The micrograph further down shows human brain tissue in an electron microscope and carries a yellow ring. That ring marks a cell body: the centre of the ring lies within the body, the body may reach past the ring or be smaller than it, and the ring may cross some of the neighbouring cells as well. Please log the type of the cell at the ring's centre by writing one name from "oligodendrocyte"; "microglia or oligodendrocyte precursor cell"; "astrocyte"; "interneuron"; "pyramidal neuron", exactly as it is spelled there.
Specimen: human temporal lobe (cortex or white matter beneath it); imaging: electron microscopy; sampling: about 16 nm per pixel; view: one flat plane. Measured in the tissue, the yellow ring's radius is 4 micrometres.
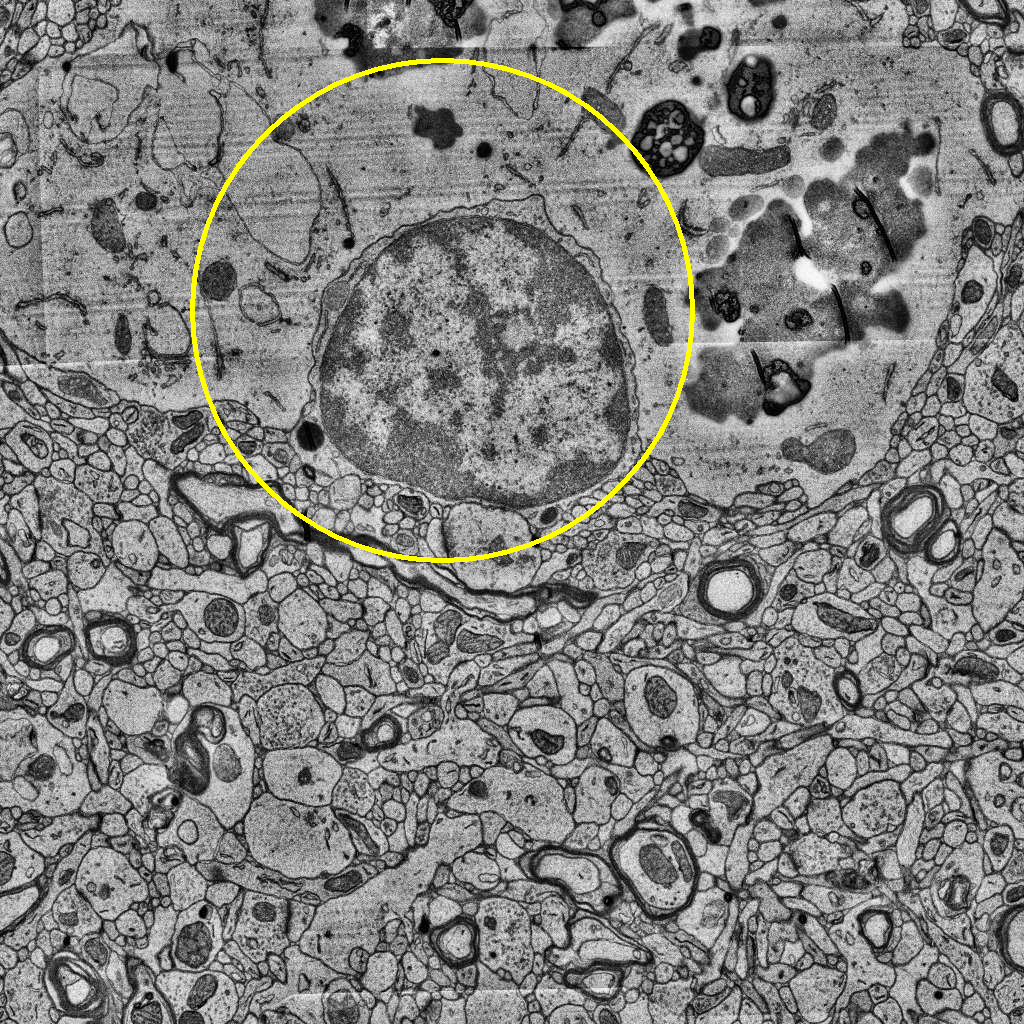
microglia or oligodendrocyte precursor cell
